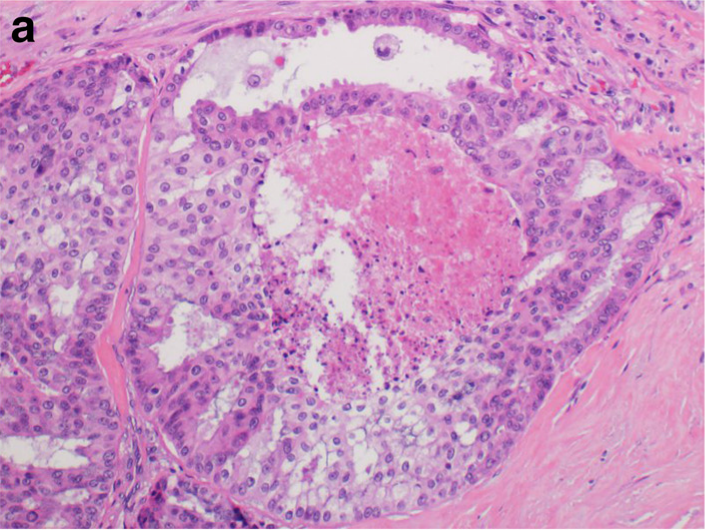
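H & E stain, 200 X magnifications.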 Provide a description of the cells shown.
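Nests of neoplastic epithelial cells set in pink, dense fibrous stroma. The main nest is perforated by multiple irregular punched-out spaces, giving a sieve-like cribriform arrangement; a smaller nest at left shows the same pattern. The centre of the main nest holds a pool of pink granular necrotic debris with scattered dark nuclear fragments, surrounded by a rim of viable tumour cells. Tumour cells have pink cytoplasm and round vesicular nuclei with nucleoli; some spaces contain pale, bubbly material. Spindle-shaped fibroblast nuclei lie in the surrounding stroma.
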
